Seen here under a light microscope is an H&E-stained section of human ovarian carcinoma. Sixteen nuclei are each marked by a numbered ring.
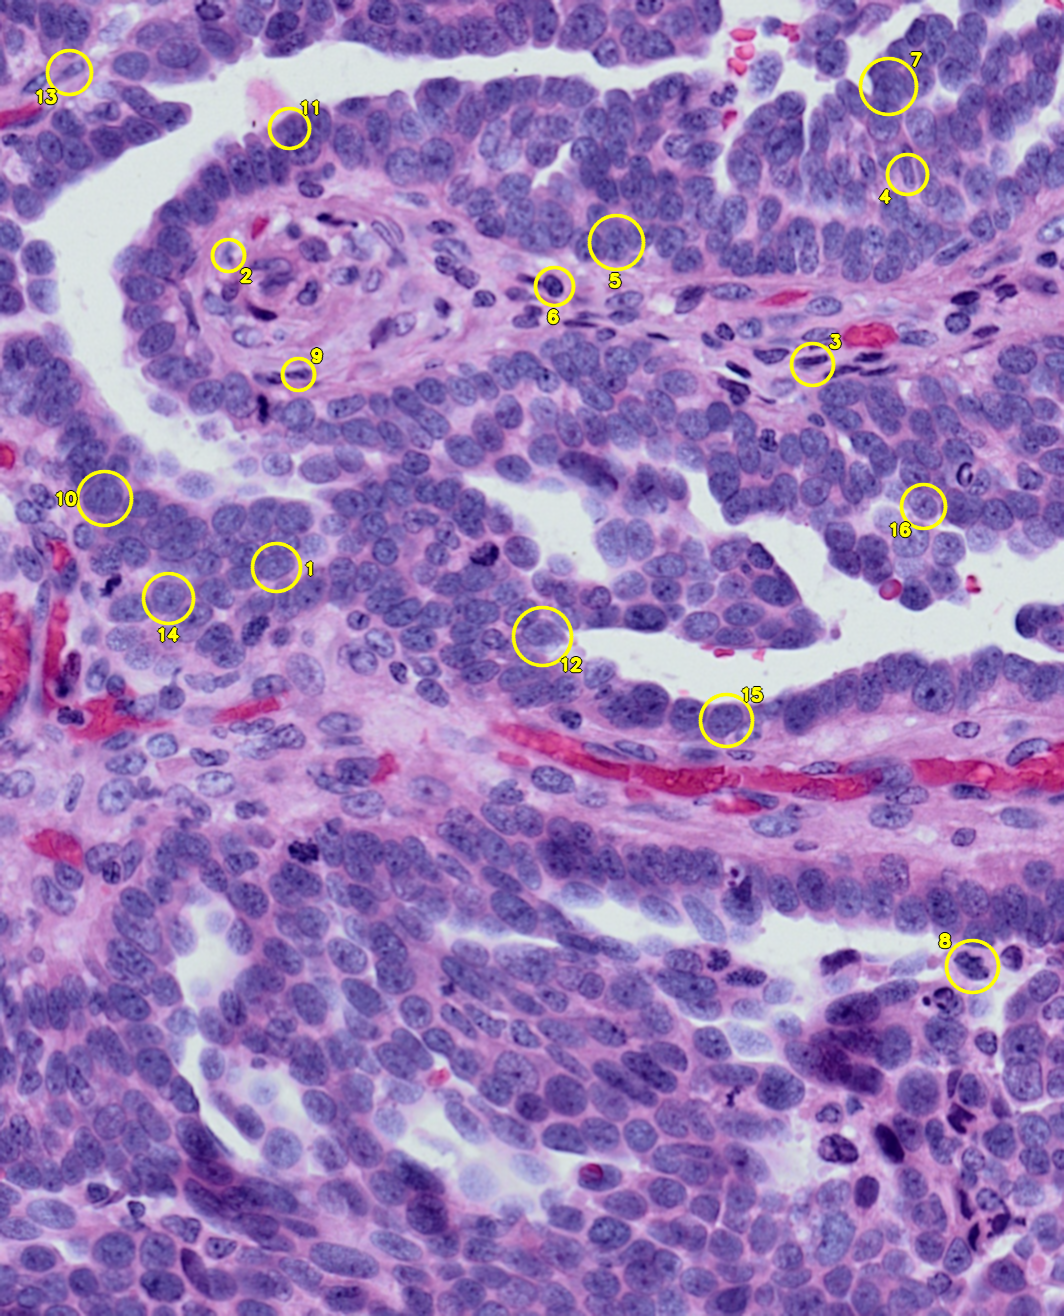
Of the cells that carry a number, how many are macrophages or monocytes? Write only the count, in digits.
2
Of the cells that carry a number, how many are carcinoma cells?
9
